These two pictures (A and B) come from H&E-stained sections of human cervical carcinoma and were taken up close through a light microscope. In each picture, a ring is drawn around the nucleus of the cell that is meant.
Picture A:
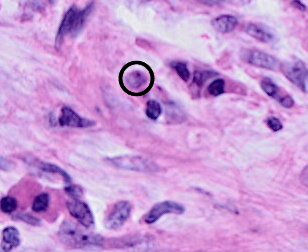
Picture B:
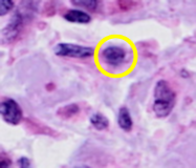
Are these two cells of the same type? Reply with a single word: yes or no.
no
